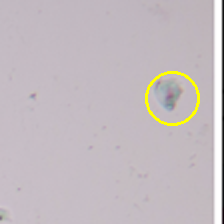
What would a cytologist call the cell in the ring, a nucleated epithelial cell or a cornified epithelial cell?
A cytologist would call it a nucleated epithelial cell.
